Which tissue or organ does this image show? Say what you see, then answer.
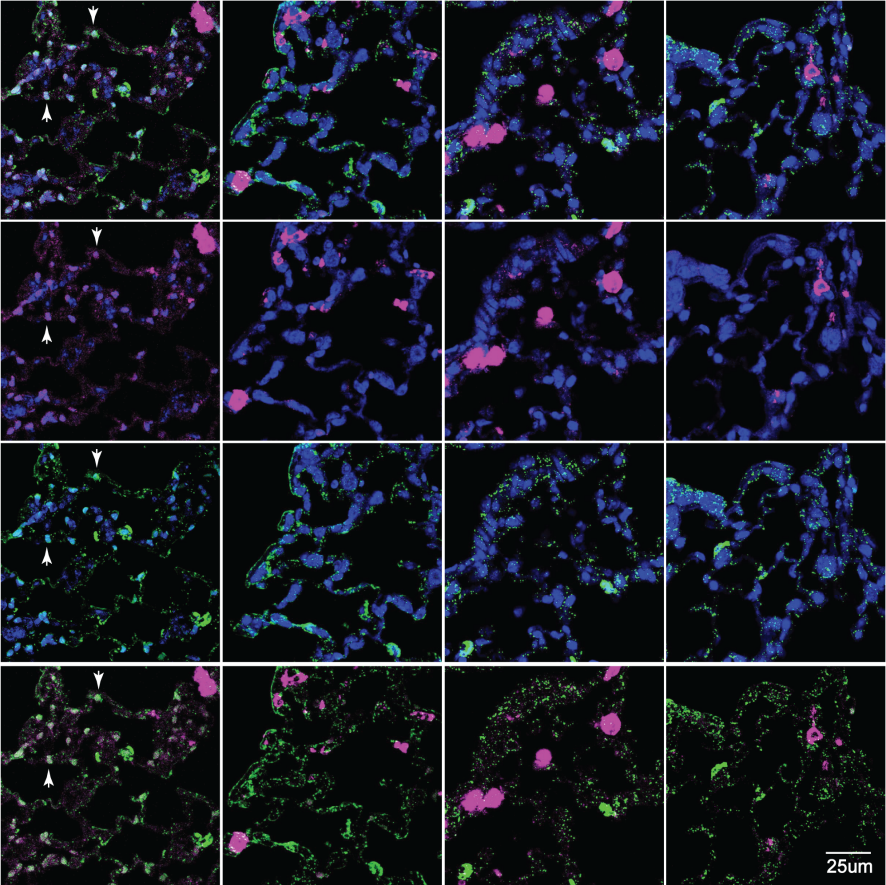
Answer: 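Thin septa with blue nuclei enclose open dark airspaces. Lace-like network of walls typical of alveolar tissue.
Answer: lung parenchyma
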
